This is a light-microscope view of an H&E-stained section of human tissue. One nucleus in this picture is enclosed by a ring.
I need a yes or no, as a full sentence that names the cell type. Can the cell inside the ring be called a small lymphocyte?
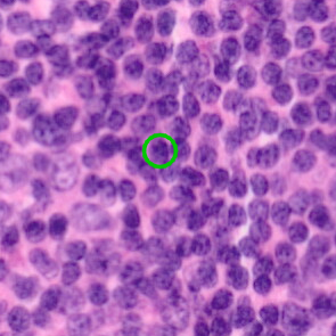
Yes, in this field of view, the cell inside the ring is a small lymphocyte.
